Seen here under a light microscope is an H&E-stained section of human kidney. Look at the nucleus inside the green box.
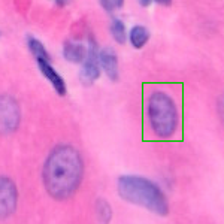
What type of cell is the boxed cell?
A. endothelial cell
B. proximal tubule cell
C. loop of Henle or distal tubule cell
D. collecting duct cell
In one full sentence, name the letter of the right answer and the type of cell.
What option B states, that the boxed cell is a proximal tubule cell, is correct.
